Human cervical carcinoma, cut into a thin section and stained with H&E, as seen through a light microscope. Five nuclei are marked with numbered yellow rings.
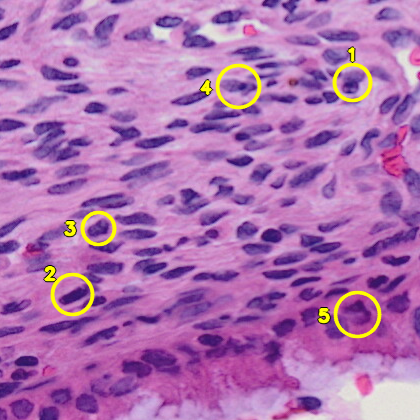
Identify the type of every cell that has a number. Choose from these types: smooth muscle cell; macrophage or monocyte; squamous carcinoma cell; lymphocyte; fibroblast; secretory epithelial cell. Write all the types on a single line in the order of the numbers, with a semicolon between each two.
lymphocyte; lymphocyte; lymphocyte; fibroblast; secretory epithelial cell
